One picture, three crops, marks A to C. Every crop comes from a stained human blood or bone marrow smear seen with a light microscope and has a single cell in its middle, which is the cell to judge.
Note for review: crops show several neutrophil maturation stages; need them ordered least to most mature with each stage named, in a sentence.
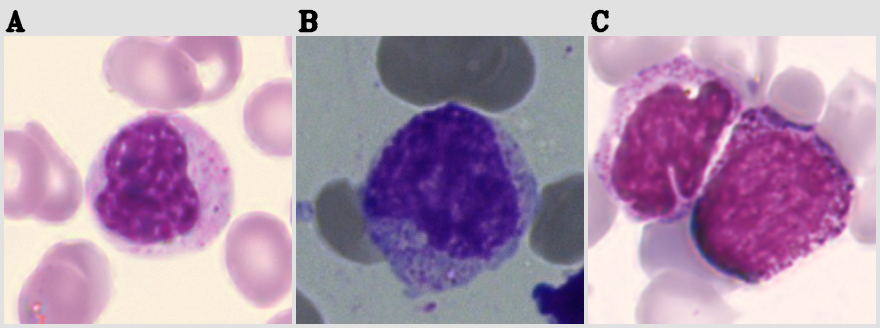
The order of maturity, beginning with the least mature, is crop C (a promyelocyte), crop B (a myelocyte) and crop A (a metamyelocyte).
